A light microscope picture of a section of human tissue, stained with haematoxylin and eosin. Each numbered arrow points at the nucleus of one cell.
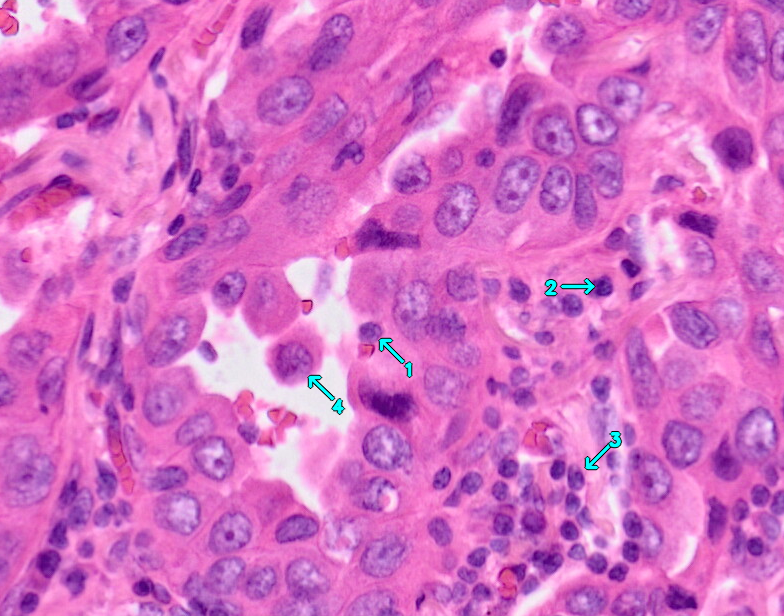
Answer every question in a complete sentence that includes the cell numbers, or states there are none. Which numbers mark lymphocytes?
Here, the cells that carry numbers 1, 2 and 3 are lymphocytes.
